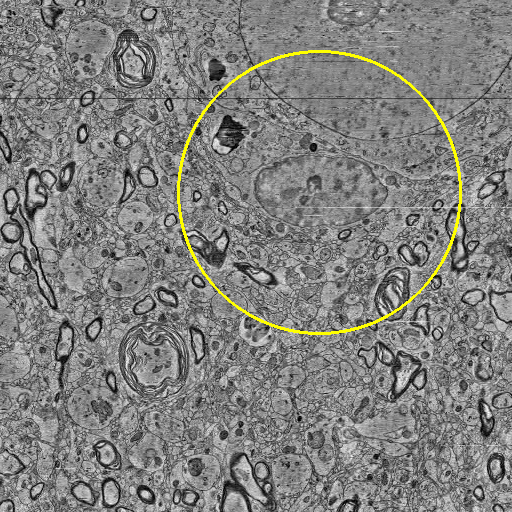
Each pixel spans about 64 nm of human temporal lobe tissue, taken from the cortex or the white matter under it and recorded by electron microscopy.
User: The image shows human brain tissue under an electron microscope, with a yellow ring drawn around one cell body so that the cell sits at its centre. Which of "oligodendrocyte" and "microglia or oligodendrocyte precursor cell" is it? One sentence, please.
At the centre of the ring sits an oligodendrocyte.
